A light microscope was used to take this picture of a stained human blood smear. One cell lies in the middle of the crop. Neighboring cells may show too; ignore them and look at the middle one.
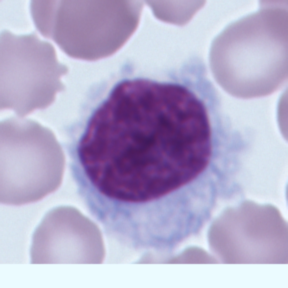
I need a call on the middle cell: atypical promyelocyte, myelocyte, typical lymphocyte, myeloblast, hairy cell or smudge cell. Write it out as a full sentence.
For this crop, the central cell is a hairy cell.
